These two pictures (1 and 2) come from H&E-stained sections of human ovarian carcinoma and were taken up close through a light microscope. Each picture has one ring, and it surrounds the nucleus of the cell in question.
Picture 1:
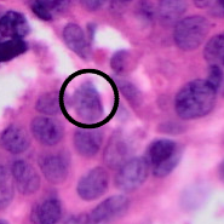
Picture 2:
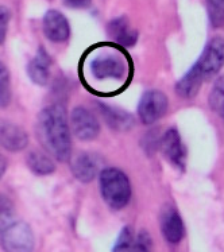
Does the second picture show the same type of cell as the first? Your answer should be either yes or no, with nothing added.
yes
